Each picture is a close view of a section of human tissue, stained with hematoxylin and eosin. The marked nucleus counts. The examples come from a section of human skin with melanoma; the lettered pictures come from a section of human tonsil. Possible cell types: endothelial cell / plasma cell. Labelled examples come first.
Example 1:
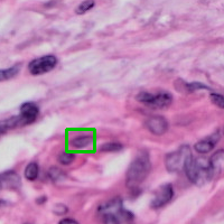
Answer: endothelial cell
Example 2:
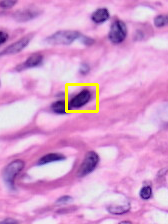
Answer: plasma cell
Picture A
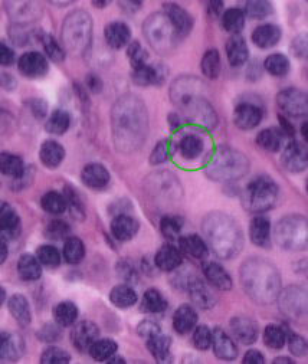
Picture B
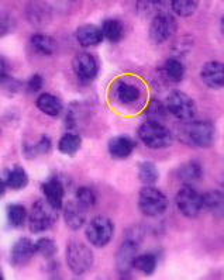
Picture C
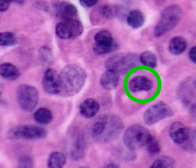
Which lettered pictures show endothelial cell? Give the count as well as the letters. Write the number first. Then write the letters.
Count: 1 (A)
